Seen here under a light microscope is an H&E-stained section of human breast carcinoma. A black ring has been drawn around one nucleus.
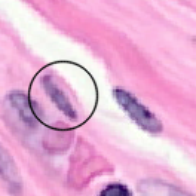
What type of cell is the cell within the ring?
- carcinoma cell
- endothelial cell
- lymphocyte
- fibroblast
endothelial cell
